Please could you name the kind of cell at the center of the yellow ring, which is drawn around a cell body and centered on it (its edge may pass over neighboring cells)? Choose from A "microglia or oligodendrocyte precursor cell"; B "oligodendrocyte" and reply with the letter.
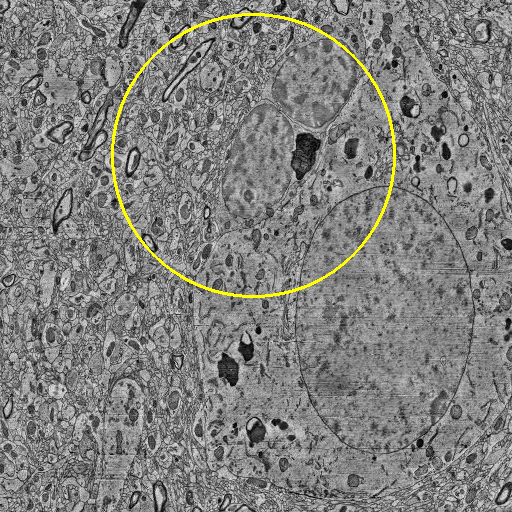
B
